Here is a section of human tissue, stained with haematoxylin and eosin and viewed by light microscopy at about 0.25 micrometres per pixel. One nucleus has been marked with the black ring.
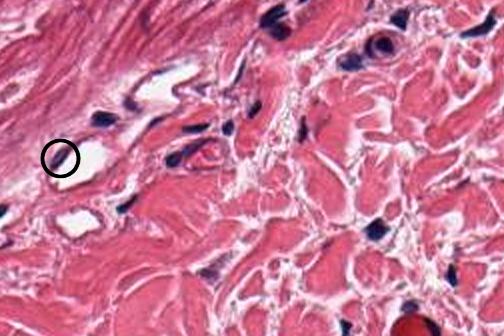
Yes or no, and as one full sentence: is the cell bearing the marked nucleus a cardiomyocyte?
No, the nucleus that is marked belongs to a supporting cell rather than to a cardiomyocyte.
